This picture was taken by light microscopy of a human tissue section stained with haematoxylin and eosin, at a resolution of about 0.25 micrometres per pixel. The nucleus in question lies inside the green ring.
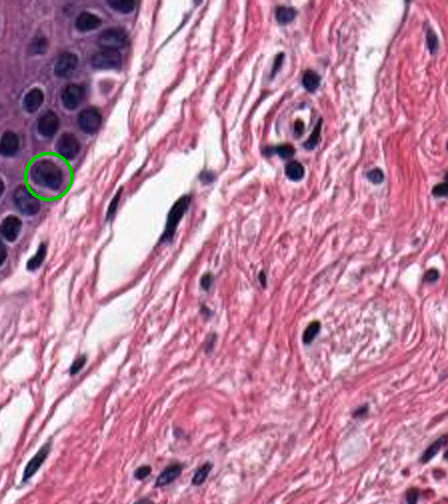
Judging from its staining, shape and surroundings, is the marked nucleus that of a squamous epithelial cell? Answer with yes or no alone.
yes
